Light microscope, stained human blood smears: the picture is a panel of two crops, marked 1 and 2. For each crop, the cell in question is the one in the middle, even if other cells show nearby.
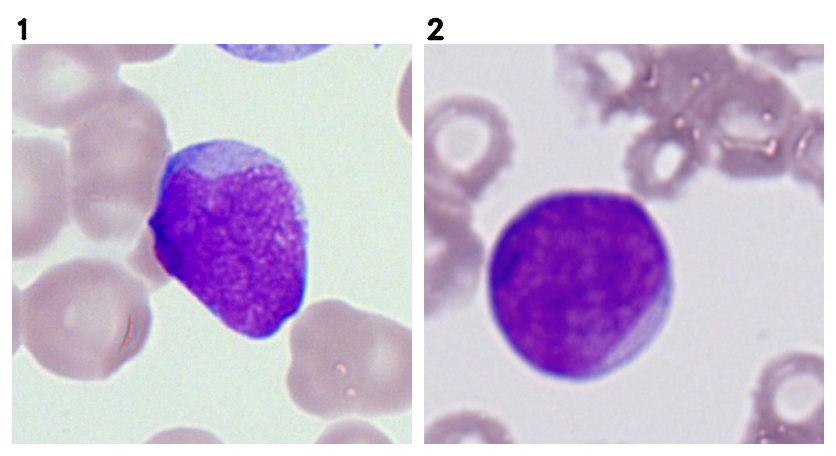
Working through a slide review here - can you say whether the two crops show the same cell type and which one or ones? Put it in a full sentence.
Yes, the crops both have myeloblasts in the middle.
